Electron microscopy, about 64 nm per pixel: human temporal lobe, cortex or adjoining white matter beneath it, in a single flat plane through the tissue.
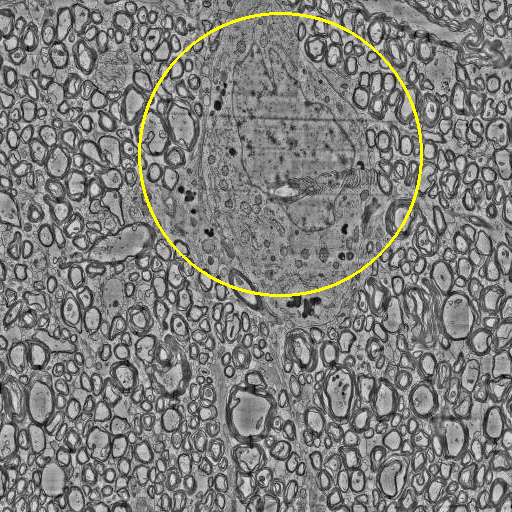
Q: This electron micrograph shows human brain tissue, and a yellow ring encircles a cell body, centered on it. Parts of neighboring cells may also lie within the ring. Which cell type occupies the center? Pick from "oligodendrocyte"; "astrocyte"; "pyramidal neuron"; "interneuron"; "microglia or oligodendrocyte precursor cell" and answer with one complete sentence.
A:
What sits at the ring's center in this micrograph is an interneuron, among those choices.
